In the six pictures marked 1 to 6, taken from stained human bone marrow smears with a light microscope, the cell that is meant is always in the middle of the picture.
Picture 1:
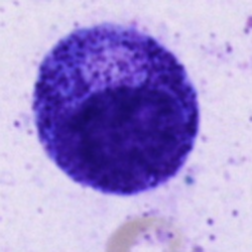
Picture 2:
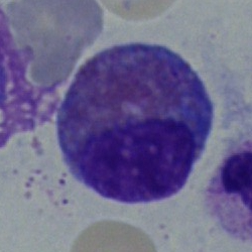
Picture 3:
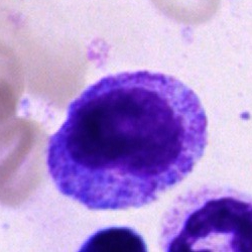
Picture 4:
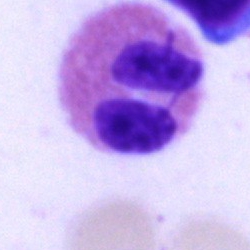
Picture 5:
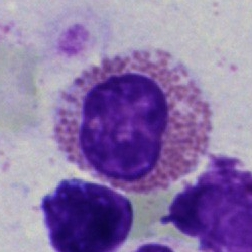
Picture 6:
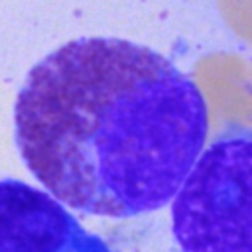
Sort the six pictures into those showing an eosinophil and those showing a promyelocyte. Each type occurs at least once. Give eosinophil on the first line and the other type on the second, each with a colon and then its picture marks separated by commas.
eosinophil: 2, 4, 5, 6
promyelocyte: 1, 3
